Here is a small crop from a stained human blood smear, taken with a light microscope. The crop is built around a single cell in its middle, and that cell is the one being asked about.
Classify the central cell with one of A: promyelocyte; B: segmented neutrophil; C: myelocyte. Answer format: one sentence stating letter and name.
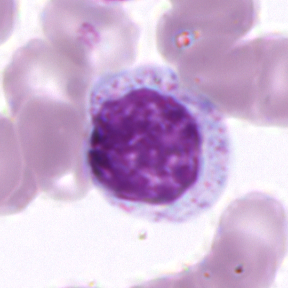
The cell occupying the centre is a myelocyte; option C is thus the correct choice.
